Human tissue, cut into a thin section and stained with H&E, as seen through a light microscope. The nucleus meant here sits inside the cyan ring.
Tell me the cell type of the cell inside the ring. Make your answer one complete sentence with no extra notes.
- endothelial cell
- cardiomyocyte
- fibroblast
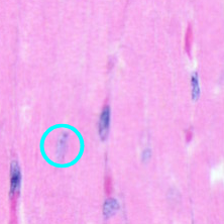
Just put down that the cell inside the ring is a cardiomyocyte.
